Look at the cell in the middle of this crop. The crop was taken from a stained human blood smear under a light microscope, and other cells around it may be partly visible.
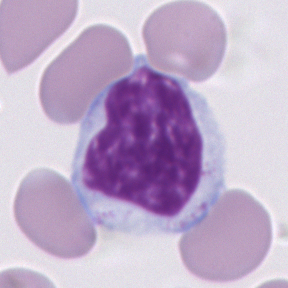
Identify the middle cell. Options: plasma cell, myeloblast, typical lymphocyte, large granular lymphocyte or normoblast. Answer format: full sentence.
Here the centrally located cell is a large granular lymphocyte.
